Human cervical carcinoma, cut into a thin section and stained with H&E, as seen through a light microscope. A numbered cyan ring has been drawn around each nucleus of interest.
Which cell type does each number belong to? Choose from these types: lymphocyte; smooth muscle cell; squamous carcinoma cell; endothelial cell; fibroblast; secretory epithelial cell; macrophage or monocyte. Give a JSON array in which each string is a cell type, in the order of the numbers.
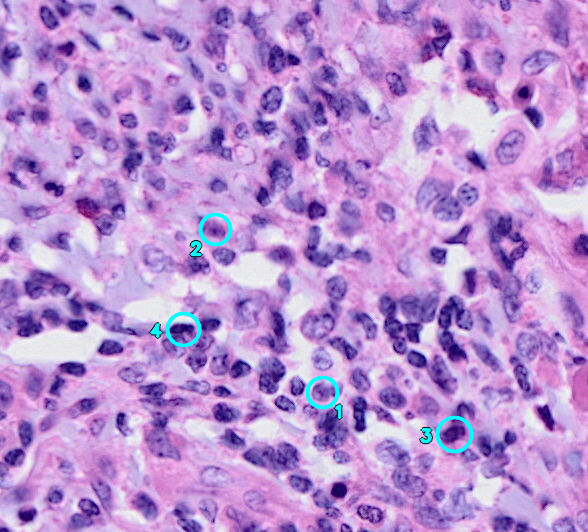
["lymphocyte", "macrophage or monocyte", "lymphocyte", "lymphocyte"]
